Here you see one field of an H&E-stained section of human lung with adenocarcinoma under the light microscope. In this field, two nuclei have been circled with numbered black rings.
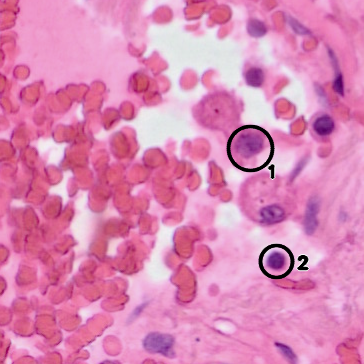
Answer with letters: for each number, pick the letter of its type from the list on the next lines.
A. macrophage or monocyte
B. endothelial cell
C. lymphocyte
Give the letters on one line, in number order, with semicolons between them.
A; C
